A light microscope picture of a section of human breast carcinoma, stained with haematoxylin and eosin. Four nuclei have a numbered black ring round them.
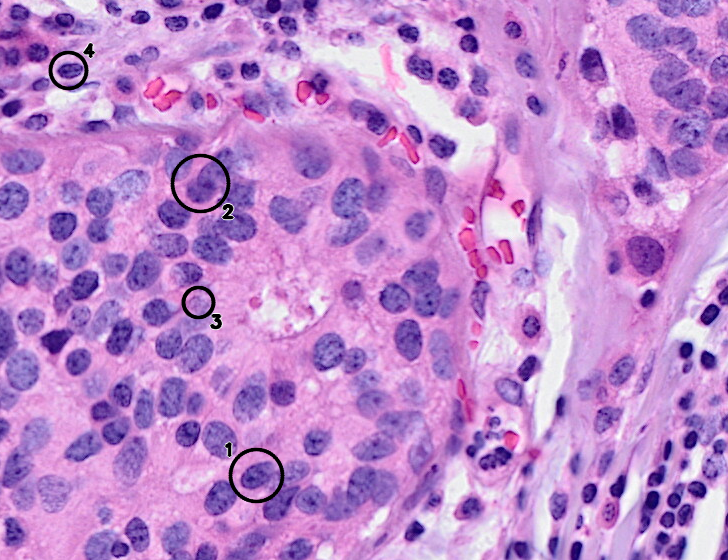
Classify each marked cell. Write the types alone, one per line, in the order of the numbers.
carcinoma cell
carcinoma cell
carcinoma cell
lymphocyte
